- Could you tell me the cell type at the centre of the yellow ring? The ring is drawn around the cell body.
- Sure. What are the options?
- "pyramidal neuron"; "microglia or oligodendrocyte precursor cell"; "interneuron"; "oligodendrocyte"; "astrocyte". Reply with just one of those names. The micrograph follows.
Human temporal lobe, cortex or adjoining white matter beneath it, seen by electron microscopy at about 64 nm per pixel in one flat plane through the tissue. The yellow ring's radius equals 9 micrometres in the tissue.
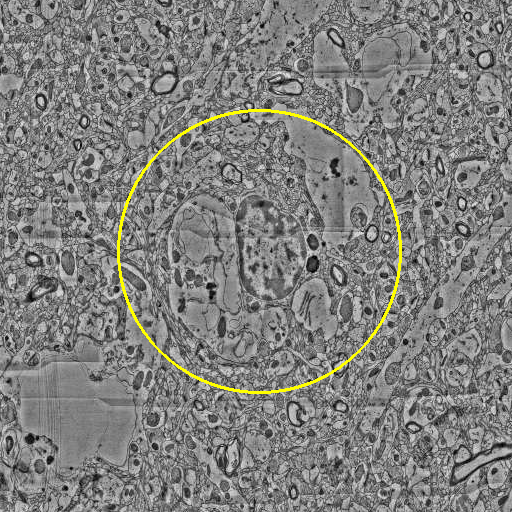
microglia or oligodendrocyte precursor cell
